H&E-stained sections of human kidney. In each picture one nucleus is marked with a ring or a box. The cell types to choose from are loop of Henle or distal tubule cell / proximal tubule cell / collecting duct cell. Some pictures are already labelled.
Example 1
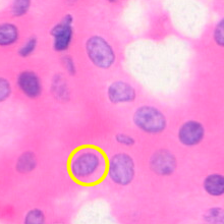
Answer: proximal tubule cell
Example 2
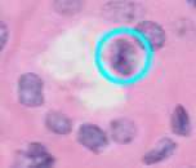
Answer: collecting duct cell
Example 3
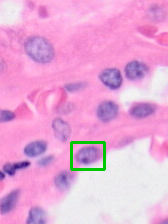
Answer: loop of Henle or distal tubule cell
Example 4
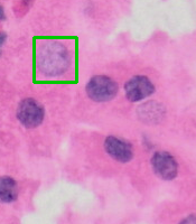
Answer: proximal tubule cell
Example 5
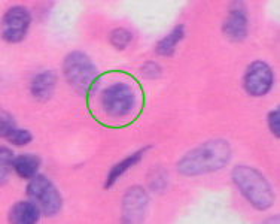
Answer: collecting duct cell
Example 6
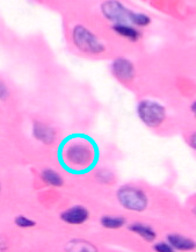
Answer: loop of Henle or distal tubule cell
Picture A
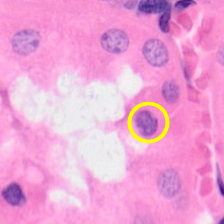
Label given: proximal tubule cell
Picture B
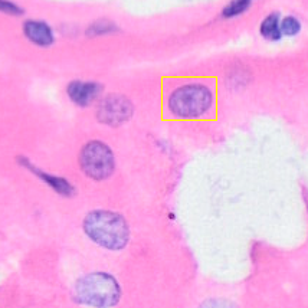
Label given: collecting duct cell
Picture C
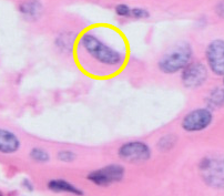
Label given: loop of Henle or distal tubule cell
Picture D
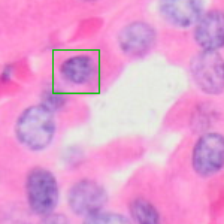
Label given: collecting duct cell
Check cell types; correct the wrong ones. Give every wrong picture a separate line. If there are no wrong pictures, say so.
Wrong: B (collecting duct cell); correct: proximal tubule cell
Wrong: C (loop of Henle or distal tubule cell); correct: collecting duct cell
